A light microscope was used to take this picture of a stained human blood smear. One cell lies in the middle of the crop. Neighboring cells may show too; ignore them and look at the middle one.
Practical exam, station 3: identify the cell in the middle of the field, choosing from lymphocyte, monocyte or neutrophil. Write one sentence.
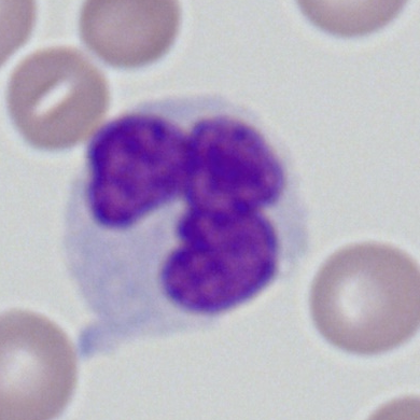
Looking at the middle of the crop, the cell there is a monocyte.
